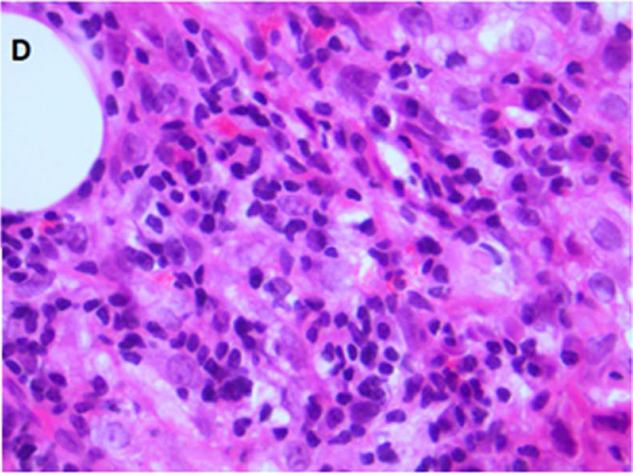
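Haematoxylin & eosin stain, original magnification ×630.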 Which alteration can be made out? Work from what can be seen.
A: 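Lymphocytic stromal infiltration. Many small cells with round, dense, dark nuclei and scant cytoplasm crowd between larger pale cells. The small dark nuclei are single and not lobed.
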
